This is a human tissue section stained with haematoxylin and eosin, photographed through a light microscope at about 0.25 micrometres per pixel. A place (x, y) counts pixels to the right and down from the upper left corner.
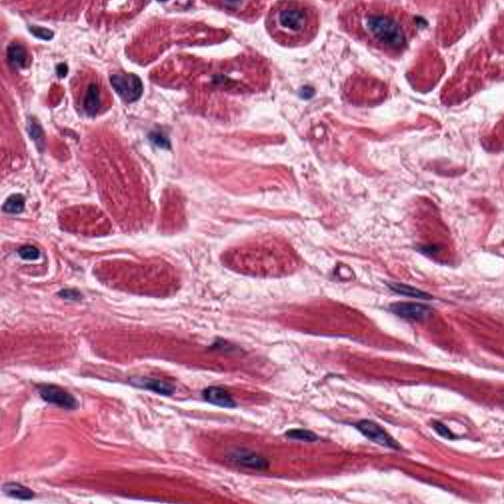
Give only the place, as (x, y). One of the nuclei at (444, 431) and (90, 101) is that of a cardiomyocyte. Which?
(90, 101)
